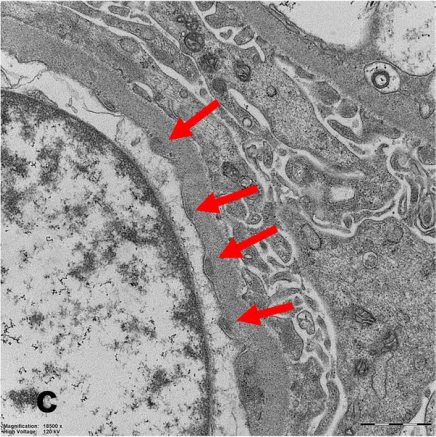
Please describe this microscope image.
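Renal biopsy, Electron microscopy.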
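In a transmission electron micrograph, a large nucleus with dark clumped chromatin lies at left, and a grey band of glomerular basement membrane runs diagonally beside it. On the right, folded podocyte foot processes and cytoplasm with organelles abut the membrane. Small dense deposits sit along the inner, endothelial side of the membrane, while the membrane itself keeps an even thickness. These are tiny subendothelial deposits without remodeling of the glomerular basement membrane.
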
